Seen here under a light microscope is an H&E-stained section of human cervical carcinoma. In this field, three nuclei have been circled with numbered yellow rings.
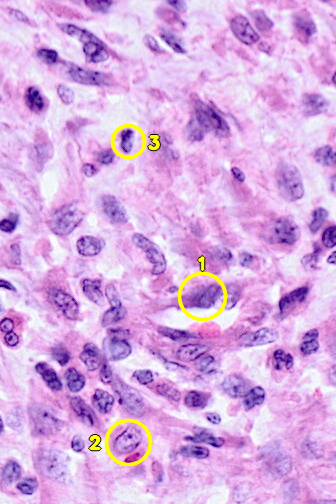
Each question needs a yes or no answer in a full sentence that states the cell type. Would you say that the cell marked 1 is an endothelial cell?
Yes, for number 1, the cell is an endothelial cell.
